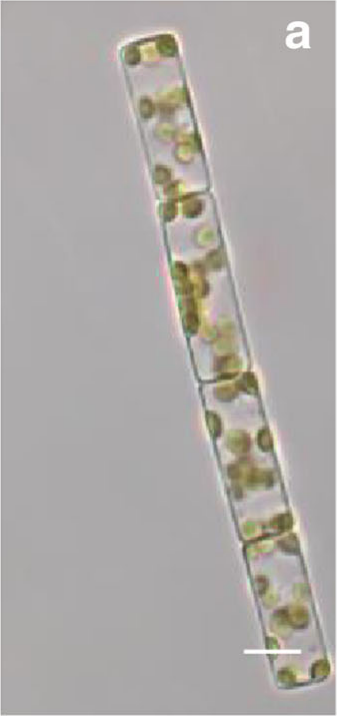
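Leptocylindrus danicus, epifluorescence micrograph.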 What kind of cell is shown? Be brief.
Vegetative cells.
